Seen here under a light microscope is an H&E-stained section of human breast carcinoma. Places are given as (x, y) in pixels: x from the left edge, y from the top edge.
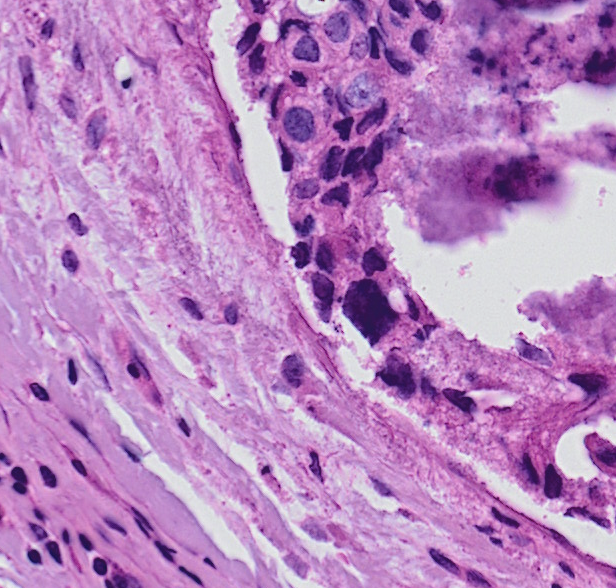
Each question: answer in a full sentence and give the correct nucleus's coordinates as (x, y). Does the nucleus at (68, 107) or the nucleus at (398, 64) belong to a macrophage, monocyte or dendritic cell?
Here the nucleus at (68, 107) is the one that belongs to a macrophage, monocyte or dendritic cell.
